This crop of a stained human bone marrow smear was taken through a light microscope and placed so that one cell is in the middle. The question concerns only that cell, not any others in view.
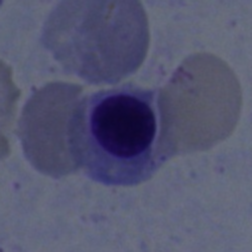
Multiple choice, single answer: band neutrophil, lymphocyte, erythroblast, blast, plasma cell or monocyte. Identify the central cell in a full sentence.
Classified as an erythroblast is the cell in the middle of this crop.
